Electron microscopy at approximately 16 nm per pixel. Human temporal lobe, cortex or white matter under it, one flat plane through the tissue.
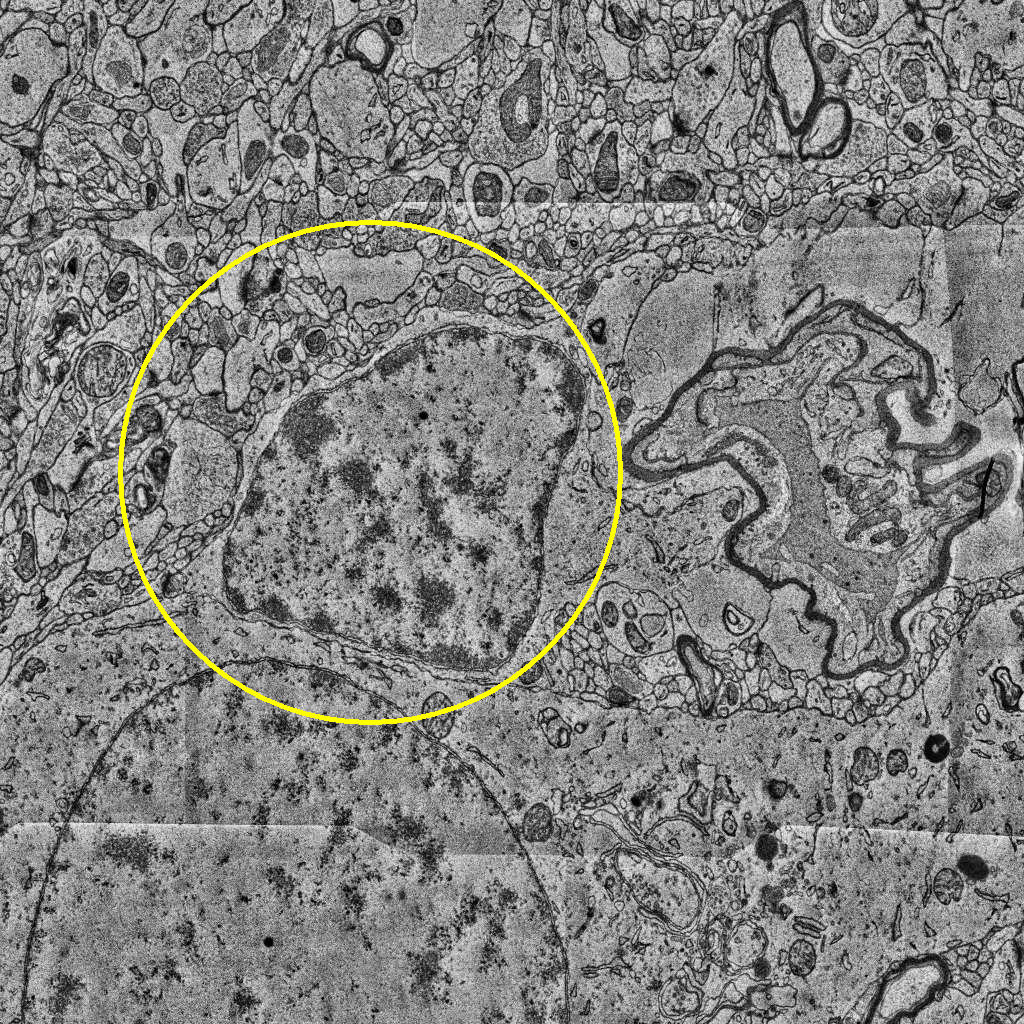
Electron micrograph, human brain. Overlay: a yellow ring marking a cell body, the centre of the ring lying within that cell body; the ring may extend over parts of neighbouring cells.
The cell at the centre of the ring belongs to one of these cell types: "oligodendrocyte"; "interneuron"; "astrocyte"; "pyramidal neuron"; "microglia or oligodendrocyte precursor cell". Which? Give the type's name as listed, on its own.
microglia or oligodendrocyte precursor cell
